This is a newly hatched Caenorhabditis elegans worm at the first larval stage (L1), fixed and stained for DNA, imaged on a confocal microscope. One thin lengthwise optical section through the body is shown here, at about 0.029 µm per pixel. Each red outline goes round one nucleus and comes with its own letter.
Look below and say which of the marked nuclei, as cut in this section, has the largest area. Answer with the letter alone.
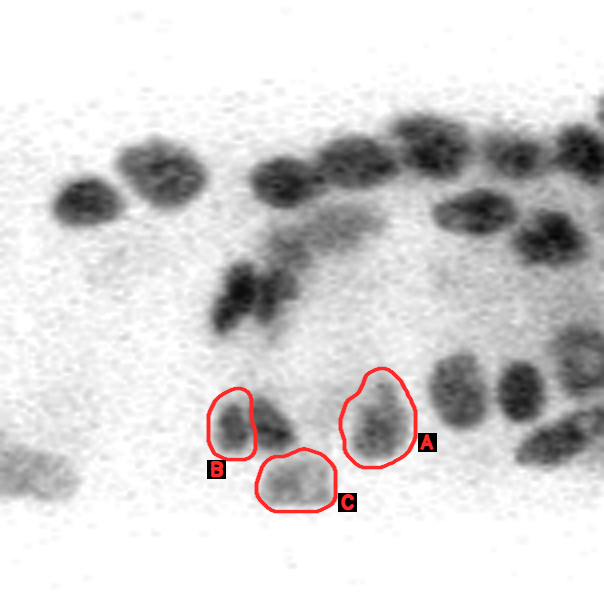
A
